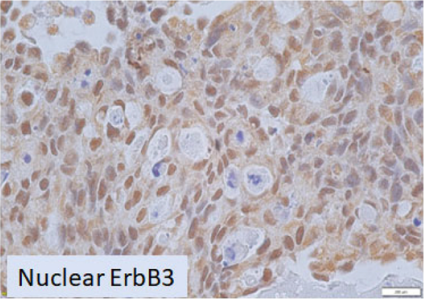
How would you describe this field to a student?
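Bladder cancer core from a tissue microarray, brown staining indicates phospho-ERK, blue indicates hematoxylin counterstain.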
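This is a urothelial carcinoma growing as a solid sheet of closely packed tumor cells. The cells vary in size and shape, with oval to irregular nuclei and indistinct cell borders. Most nuclei are stained brown, while the surrounding cytoplasm is paler. Scattered among them are a few larger cells with pale, swollen cytoplasm and blue nuclei that lack the brown stain. No clear glandular or layered arrangement is preserved, in keeping with a disorganised tumor sheet.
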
